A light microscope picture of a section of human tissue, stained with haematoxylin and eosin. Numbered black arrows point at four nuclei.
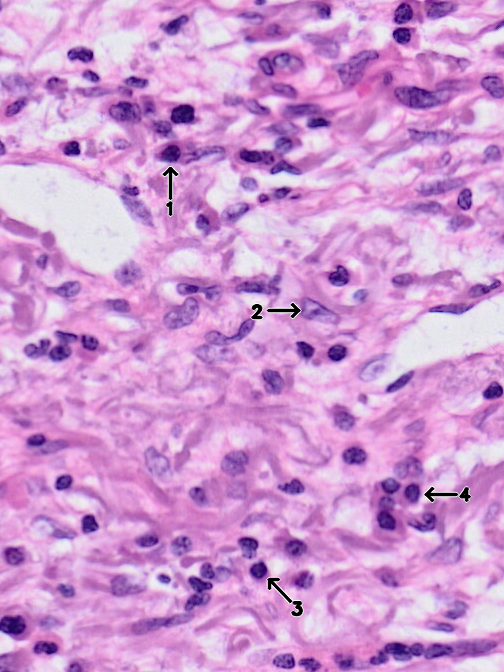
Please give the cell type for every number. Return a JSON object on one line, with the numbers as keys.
{"1": "plasma cell", "2": "fibroblast or myofibroblast", "3": "plasma cell", "4": "plasma cell"}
